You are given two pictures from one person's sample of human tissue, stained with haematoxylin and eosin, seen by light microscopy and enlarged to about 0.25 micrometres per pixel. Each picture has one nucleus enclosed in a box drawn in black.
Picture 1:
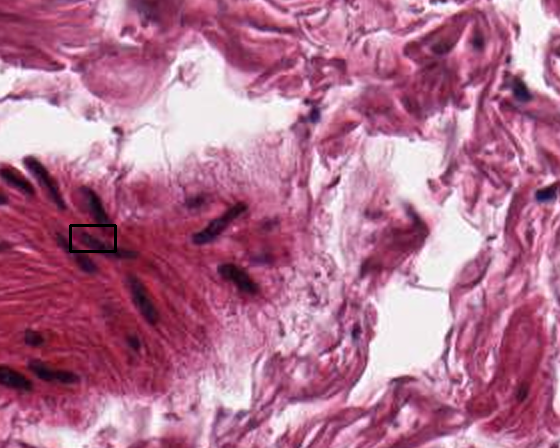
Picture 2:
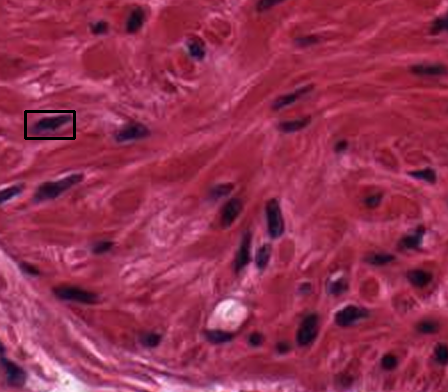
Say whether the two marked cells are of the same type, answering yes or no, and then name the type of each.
Yes, both are smooth muscle cells.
